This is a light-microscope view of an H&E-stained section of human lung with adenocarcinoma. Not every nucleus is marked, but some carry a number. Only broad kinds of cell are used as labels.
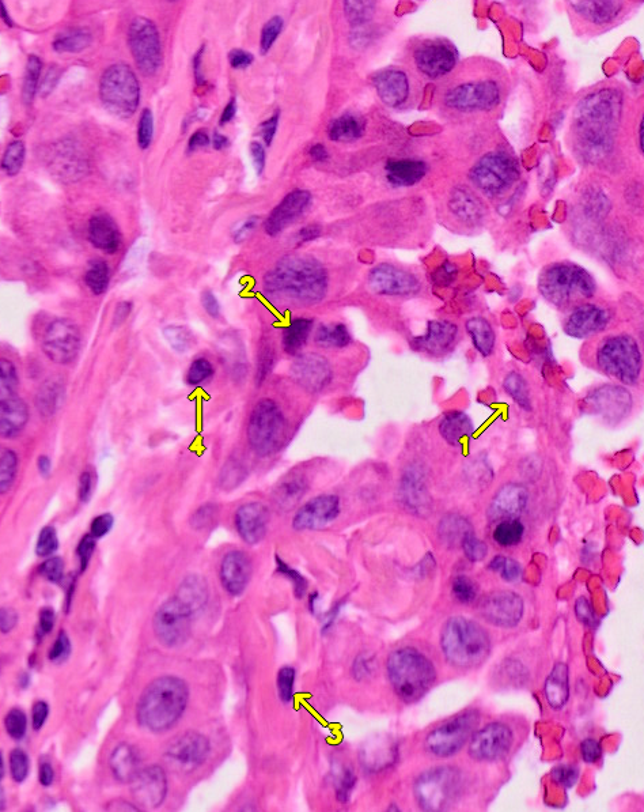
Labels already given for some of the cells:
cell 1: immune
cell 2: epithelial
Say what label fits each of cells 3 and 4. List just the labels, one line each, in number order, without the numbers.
immune
immune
